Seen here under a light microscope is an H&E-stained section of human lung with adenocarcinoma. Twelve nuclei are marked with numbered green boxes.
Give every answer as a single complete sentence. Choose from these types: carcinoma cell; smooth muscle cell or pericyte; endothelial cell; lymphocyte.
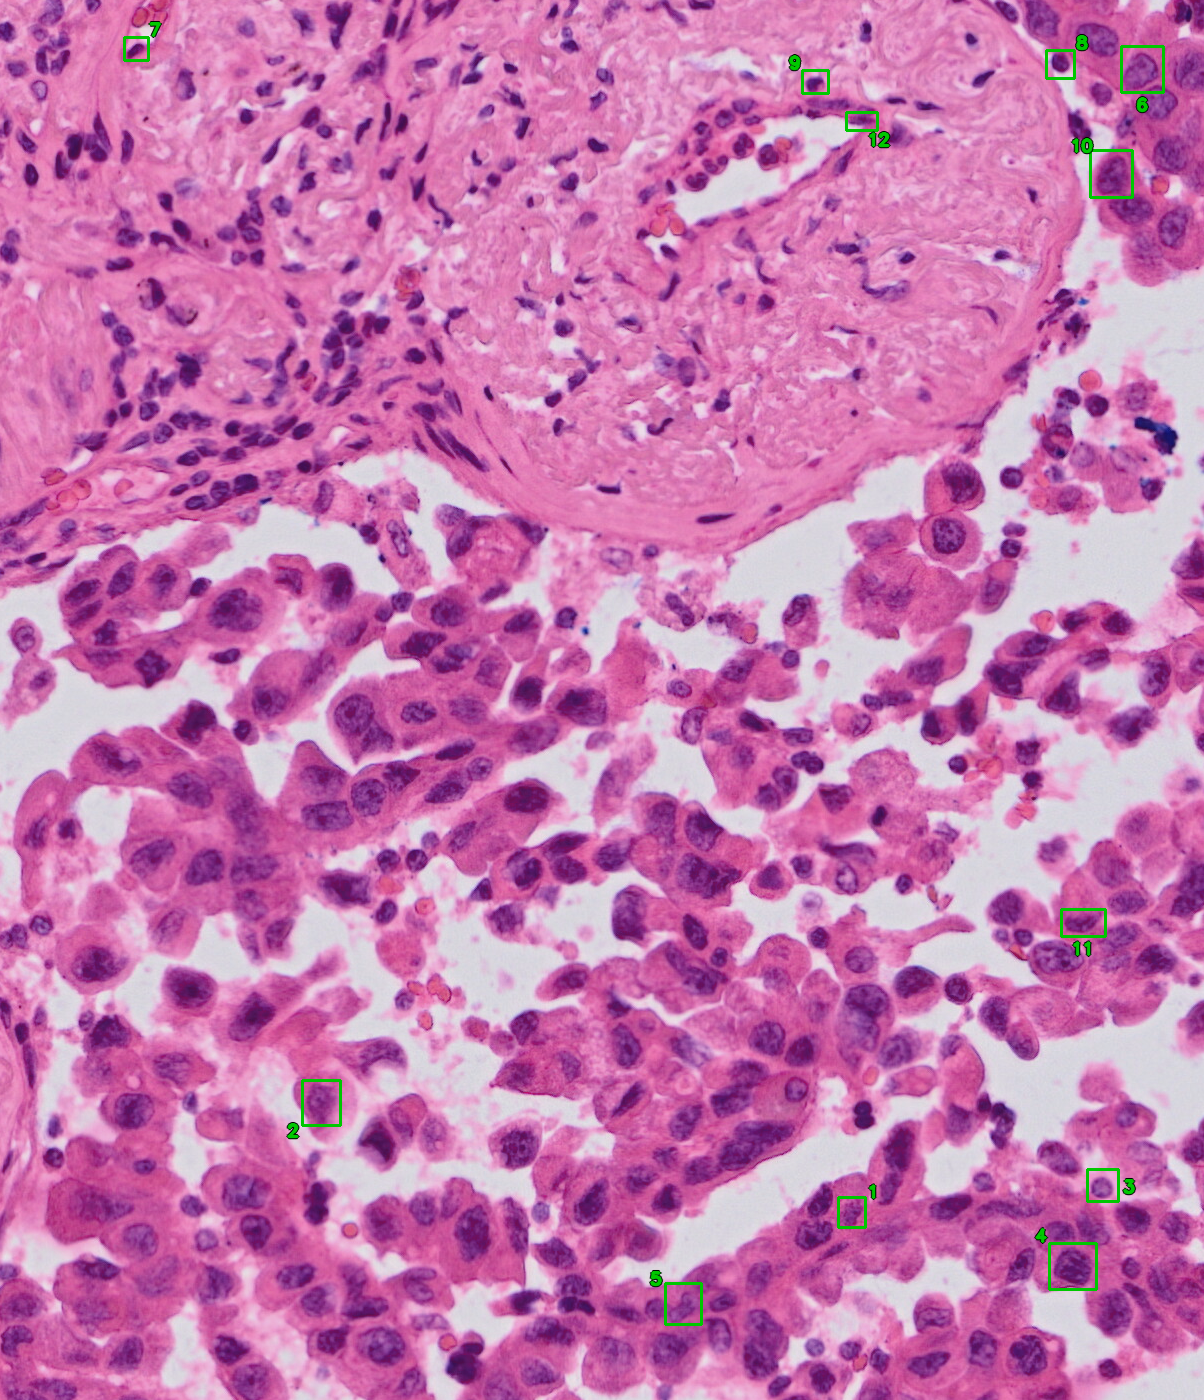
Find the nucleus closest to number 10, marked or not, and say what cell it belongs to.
The cell nearest to number 10 is a carcinoma cell.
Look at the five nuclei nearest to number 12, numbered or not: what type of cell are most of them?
Most of the five nuclei nearest to number 12 are those of smooth muscle cells or pericytes.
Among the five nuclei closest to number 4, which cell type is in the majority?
Carcinoma cells make up most of the five nuclei closest to number 4.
